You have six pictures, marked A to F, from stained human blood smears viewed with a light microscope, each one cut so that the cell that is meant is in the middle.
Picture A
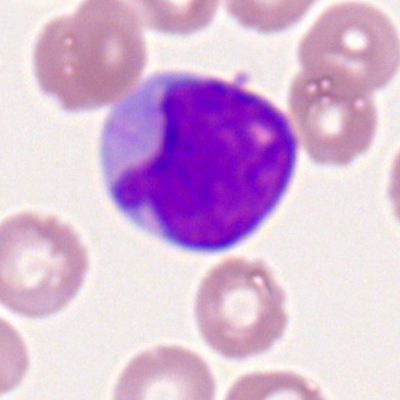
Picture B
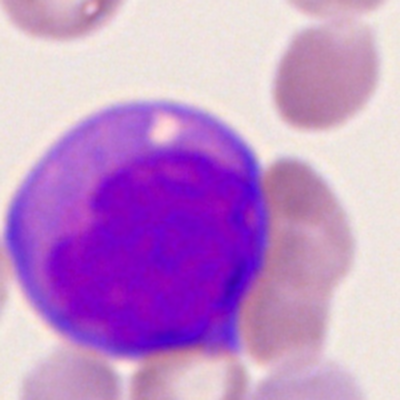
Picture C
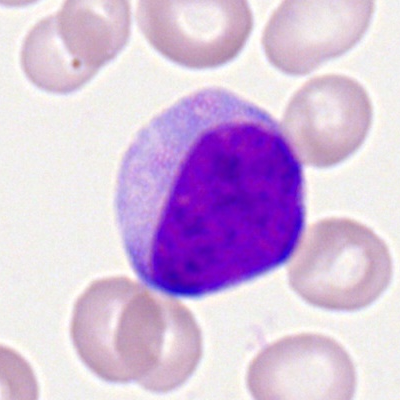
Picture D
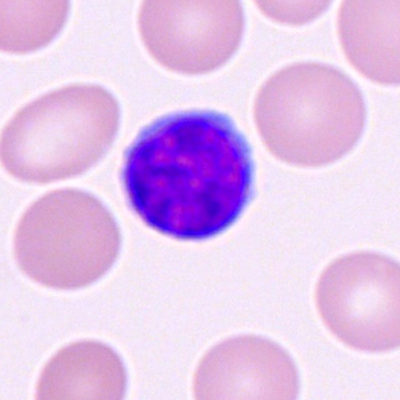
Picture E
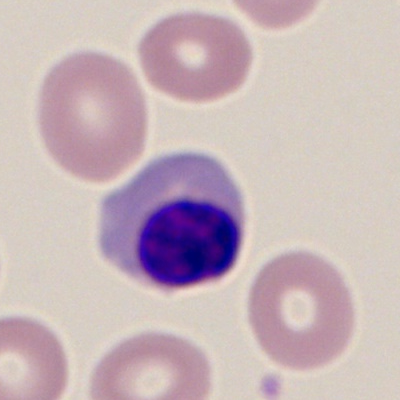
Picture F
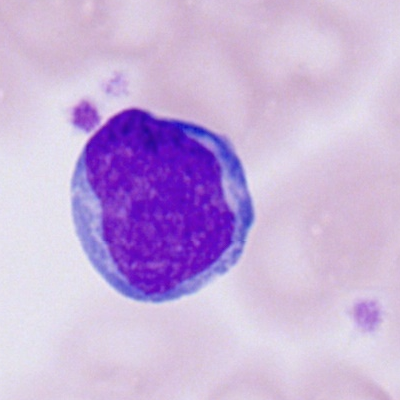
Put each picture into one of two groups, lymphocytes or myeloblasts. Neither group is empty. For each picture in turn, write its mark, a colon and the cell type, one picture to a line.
A: myeloblast
B: myeloblast
C: myeloblast
D: lymphocyte
E: lymphocyte
F: myeloblast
